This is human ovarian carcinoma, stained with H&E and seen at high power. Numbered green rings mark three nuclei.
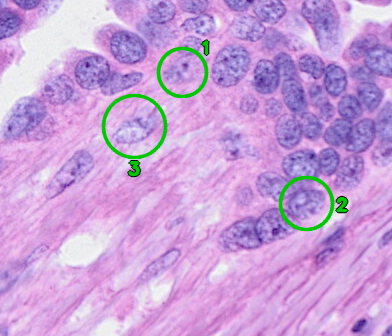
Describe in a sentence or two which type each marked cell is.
Cell 1 is a fibroblast, cell 2 is a carcinoma cell and cell 3 is a fibroblast.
